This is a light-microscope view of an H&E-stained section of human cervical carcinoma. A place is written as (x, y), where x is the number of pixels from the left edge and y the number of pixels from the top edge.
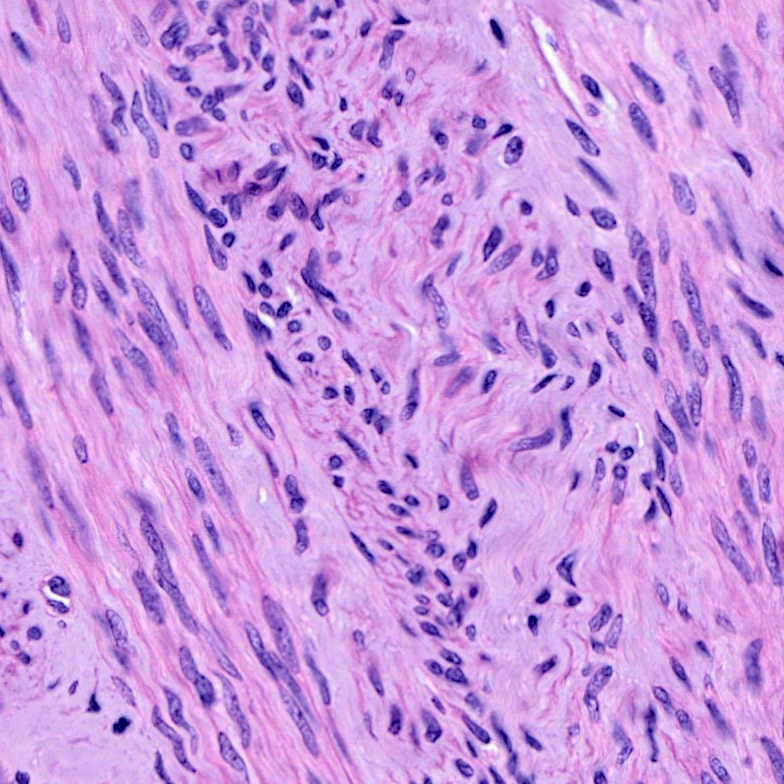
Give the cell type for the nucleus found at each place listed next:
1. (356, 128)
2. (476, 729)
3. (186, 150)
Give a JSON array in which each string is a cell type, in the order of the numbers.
["smooth muscle cell", "fibroblast", "smooth muscle cell"]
